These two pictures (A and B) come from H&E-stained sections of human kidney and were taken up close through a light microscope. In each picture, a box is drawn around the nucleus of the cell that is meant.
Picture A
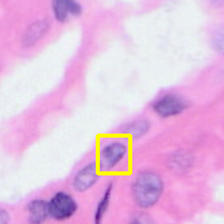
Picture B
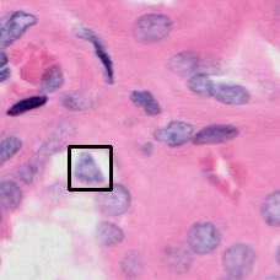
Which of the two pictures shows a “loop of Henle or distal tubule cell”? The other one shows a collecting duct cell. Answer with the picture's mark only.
B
